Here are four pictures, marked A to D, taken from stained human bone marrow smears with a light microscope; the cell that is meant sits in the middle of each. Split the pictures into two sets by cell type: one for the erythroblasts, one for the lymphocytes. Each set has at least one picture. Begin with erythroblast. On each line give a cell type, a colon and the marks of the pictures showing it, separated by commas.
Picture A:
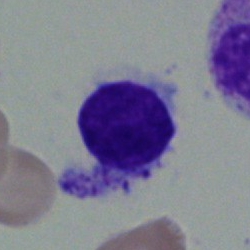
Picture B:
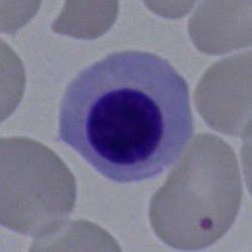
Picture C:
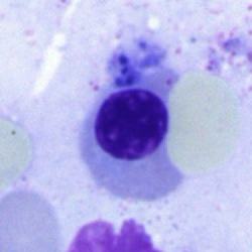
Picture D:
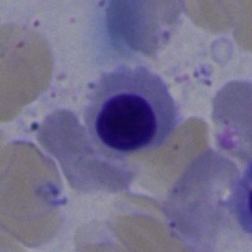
erythroblast: B, C, D
lymphocyte: A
